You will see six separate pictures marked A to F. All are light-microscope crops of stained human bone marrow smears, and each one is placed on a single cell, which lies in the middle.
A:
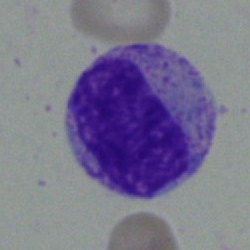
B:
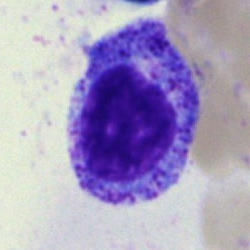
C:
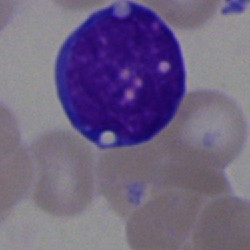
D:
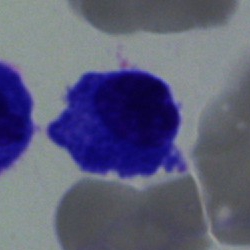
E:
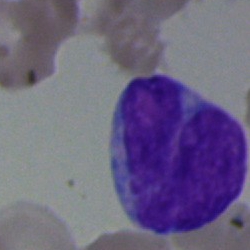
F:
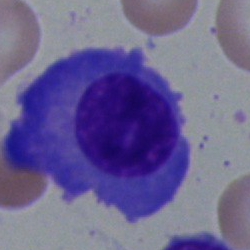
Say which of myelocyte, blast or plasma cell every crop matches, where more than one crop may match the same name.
A: myelocyte
B: myelocyte
C: blast
D: plasma cell
E: blast
F: plasma cell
